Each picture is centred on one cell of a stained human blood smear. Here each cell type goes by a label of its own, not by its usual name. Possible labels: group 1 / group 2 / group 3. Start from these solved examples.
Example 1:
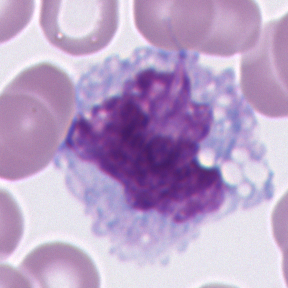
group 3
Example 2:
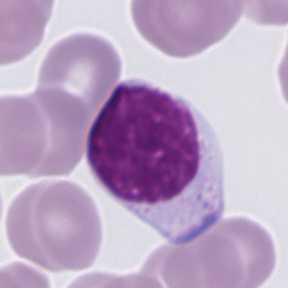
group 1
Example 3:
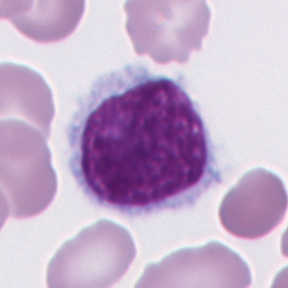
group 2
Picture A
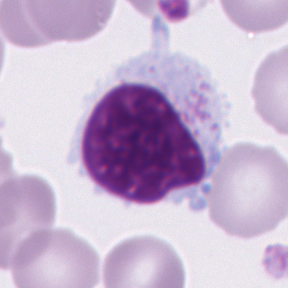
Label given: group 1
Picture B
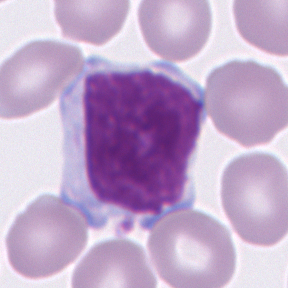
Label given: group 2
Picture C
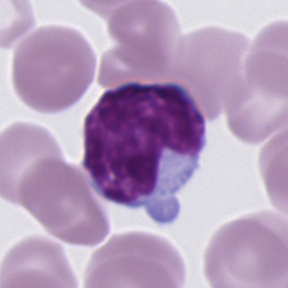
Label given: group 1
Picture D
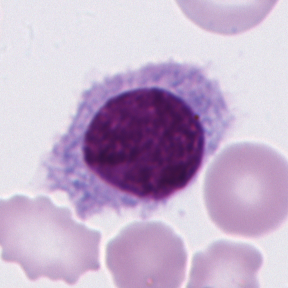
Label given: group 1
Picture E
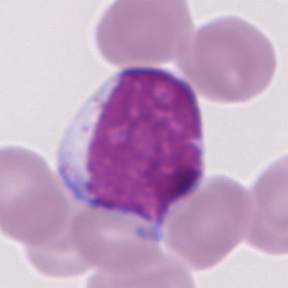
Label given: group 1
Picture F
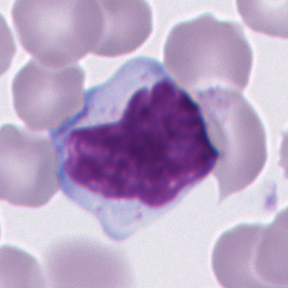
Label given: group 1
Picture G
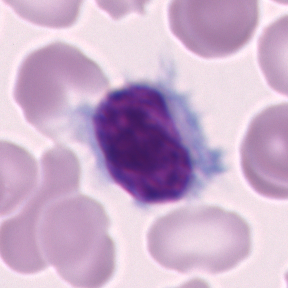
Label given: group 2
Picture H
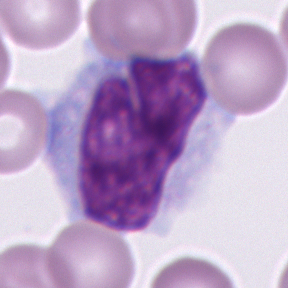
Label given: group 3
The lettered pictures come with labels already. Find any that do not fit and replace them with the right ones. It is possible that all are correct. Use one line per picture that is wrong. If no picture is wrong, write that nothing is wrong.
Wrong: B (group 2); correct: group 1
Wrong: D (group 1); correct: group 2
